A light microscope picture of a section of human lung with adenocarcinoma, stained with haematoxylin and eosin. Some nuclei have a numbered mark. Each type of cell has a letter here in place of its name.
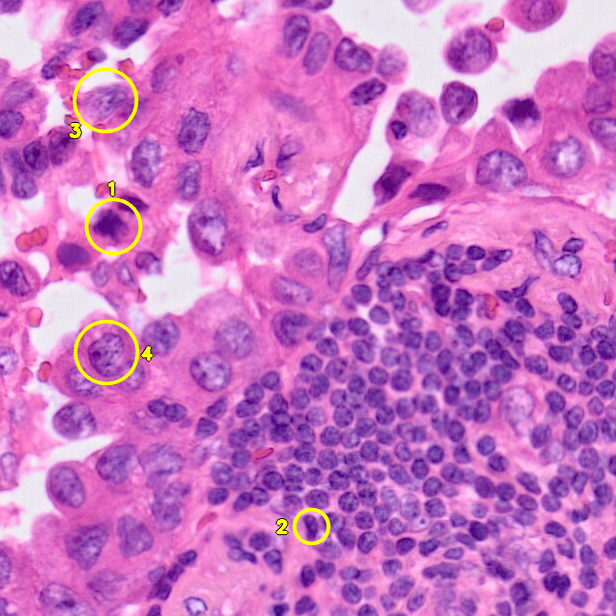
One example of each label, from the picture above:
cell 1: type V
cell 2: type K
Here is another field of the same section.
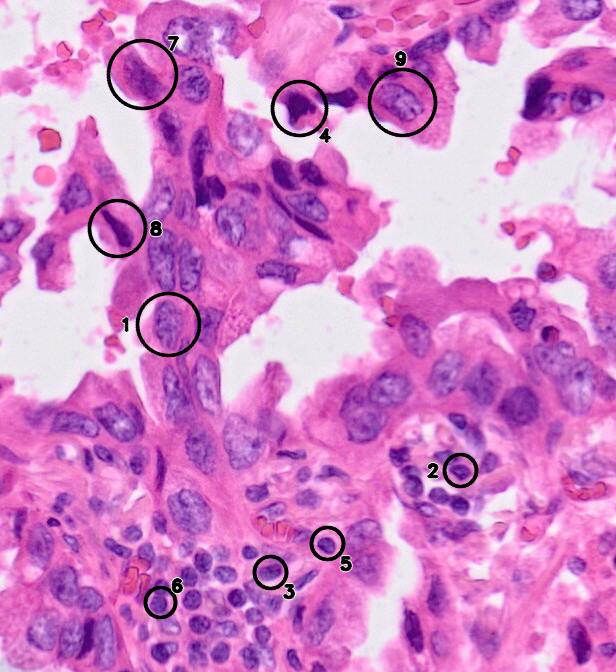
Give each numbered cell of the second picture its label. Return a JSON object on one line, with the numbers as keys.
{"1": "type V", "2": "type K", "3": "type K", "4": "type V", "5": "type K", "6": "type K", "7": "type V", "8": "type V", "9": "type V"}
